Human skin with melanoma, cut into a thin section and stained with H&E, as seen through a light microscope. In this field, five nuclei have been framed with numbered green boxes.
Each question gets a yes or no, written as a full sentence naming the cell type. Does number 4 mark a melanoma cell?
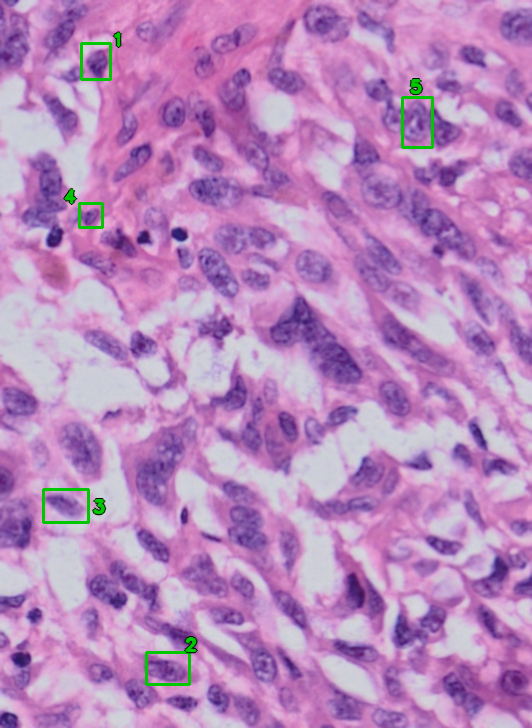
No, the cell labelled number 4 is not a melanoma cell; it is a macrophage or monocyte.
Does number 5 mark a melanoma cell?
Yes, the numbered cell 5 is a melanoma cell.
